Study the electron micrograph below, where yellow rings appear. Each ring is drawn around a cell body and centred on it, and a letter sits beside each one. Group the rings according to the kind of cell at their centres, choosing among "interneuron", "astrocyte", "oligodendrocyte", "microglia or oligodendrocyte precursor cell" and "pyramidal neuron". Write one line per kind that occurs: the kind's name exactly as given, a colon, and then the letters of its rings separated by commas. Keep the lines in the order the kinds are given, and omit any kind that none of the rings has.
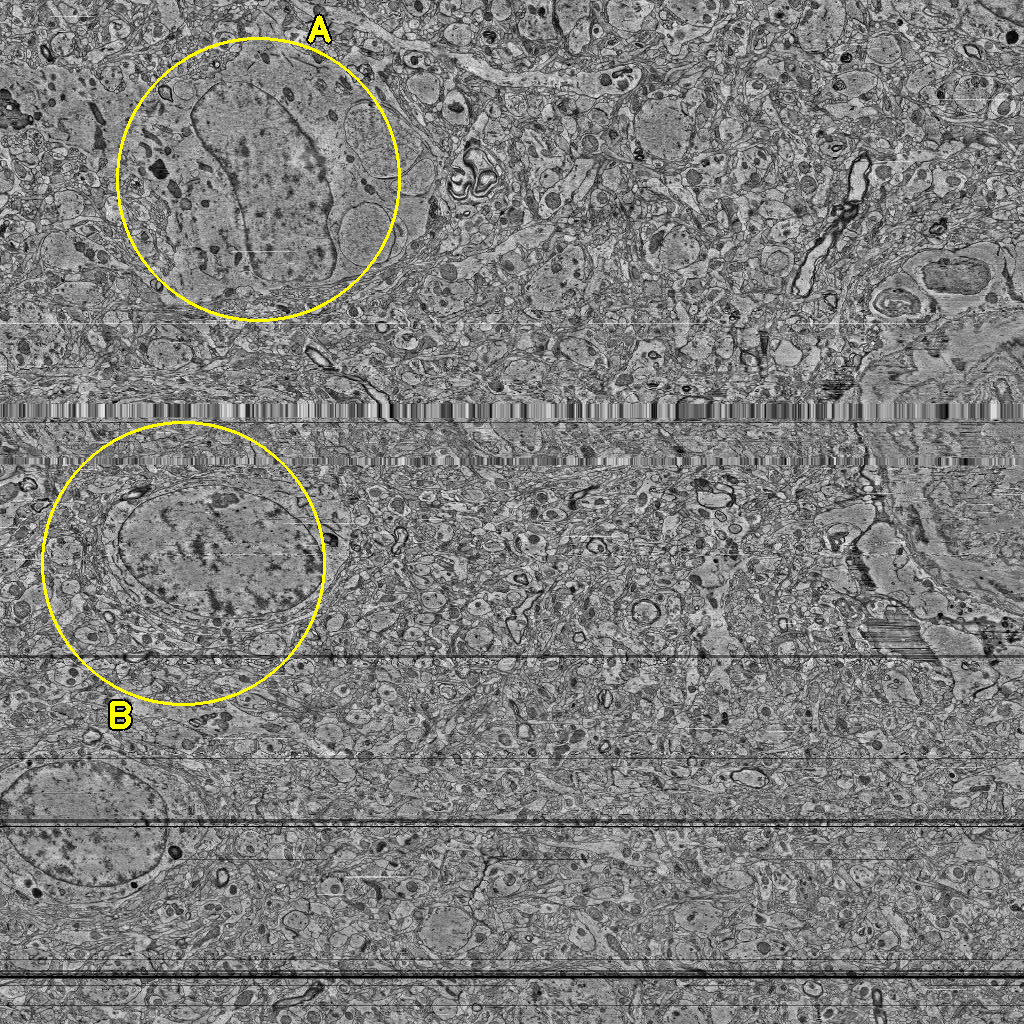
astrocyte: A
pyramidal neuron: B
